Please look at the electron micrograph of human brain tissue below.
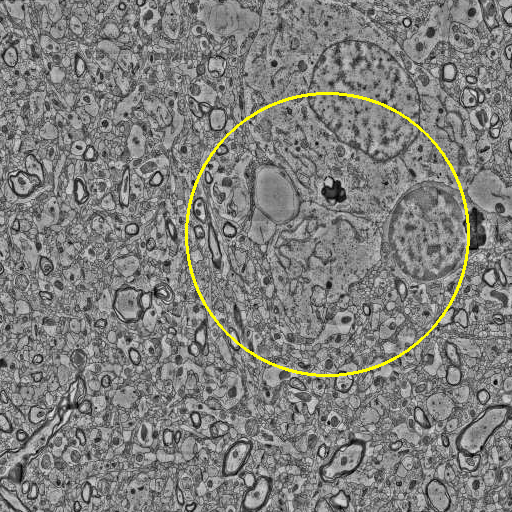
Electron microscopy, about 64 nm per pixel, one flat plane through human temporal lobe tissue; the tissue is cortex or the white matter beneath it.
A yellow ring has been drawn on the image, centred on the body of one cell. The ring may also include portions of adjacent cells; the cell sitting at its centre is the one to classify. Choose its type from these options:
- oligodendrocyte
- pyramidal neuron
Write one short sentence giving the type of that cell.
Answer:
The cell in the middle of the ring is a pyramidal neuron.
